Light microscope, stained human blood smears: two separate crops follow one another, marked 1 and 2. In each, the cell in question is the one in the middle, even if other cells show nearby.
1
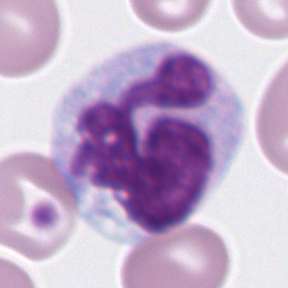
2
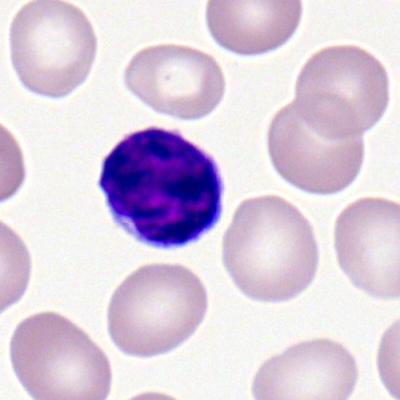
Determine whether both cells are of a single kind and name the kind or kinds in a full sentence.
No, a monocyte is shown in crop 1 and a lymphocyte in crop 2.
